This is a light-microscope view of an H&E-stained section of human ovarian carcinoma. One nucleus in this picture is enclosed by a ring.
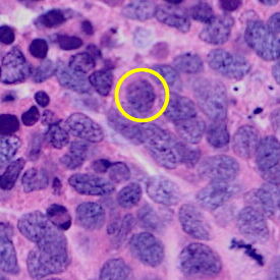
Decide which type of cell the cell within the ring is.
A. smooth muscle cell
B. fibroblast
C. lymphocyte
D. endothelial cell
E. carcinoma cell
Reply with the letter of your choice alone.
E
